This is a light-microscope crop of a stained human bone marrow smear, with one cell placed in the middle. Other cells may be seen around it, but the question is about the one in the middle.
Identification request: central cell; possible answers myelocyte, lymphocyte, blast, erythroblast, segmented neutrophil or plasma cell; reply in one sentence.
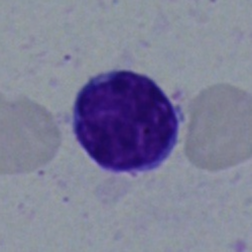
The cell in the middle of the field of view is a lymphocyte.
